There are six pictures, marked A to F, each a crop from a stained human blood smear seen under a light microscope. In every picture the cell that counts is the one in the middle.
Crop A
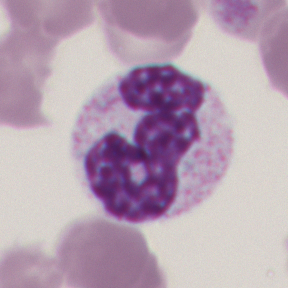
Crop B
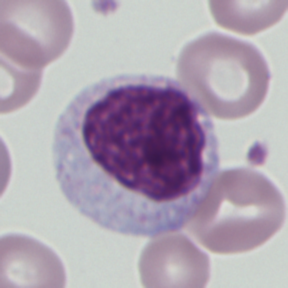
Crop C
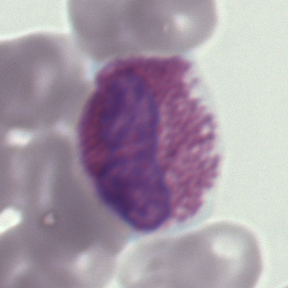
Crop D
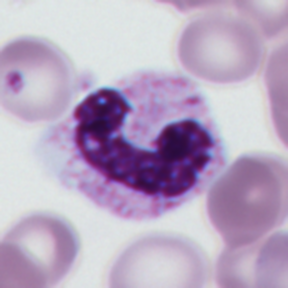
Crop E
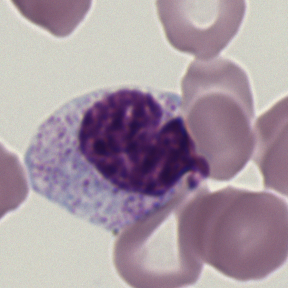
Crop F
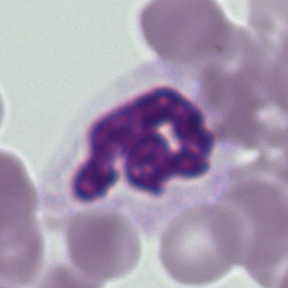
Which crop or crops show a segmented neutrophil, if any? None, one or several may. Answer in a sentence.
The middle cells in the crops marked A, D, E and F are segmented neutrophils.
